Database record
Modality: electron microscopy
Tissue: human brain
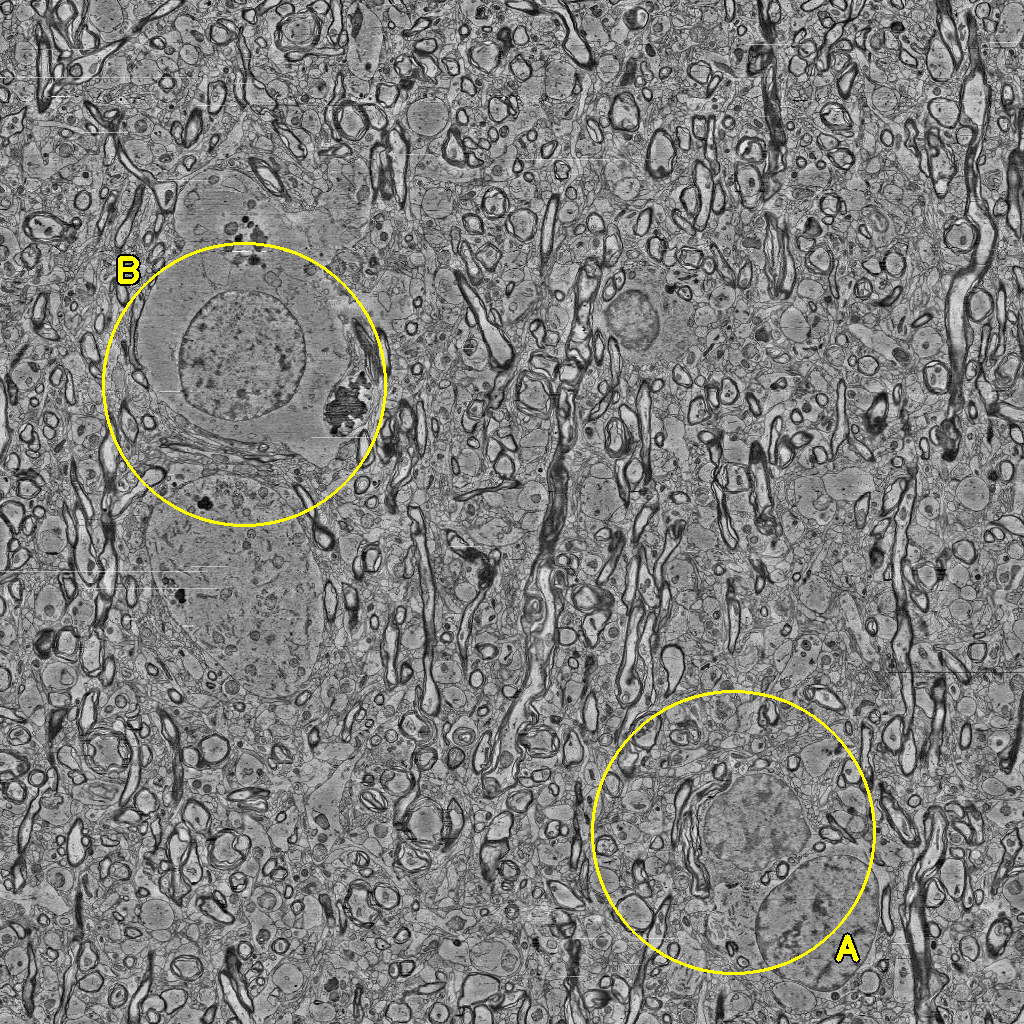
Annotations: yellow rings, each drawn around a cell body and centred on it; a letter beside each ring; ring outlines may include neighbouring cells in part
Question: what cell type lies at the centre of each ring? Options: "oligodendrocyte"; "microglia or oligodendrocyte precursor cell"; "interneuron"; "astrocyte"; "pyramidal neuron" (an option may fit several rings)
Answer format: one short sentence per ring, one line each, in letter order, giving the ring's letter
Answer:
Ring A corresponds to an oligodendrocyte.
Ring B corresponds to an astrocyte.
